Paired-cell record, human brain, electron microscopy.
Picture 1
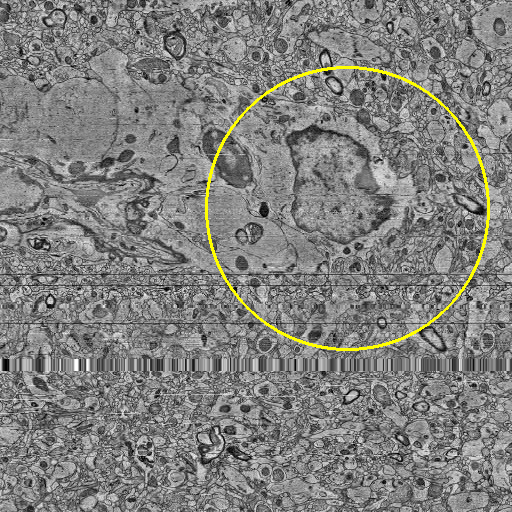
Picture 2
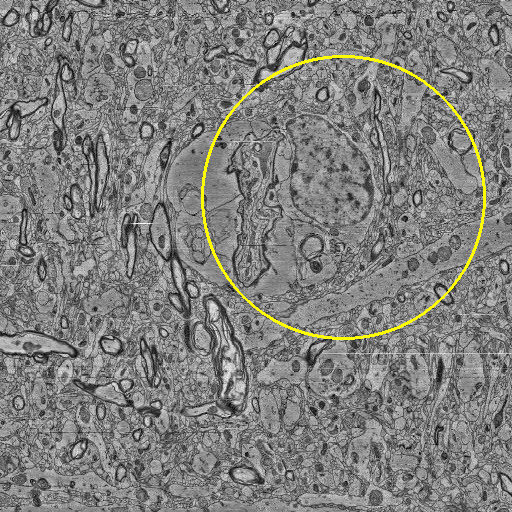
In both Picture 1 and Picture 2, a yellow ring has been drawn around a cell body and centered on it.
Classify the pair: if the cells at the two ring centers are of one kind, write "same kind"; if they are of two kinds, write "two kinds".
same kind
